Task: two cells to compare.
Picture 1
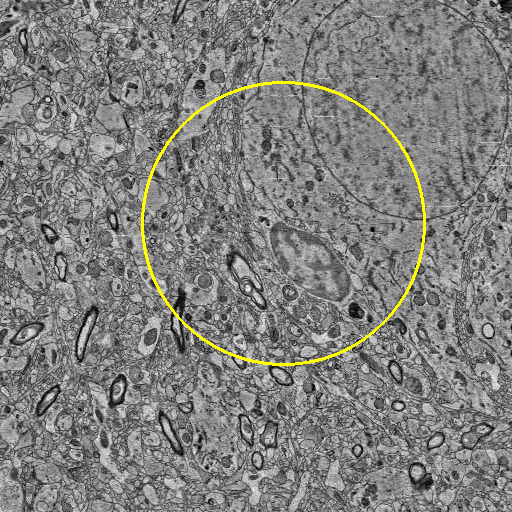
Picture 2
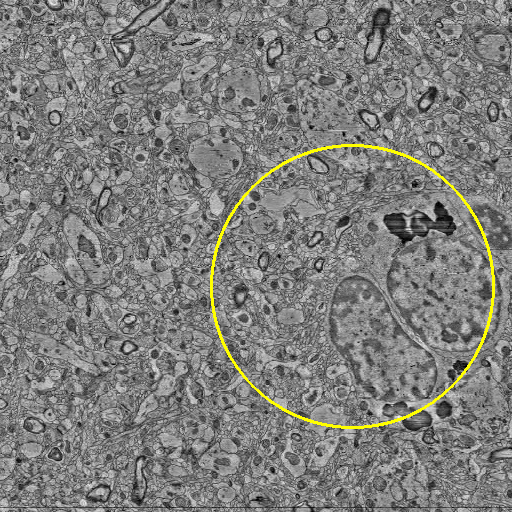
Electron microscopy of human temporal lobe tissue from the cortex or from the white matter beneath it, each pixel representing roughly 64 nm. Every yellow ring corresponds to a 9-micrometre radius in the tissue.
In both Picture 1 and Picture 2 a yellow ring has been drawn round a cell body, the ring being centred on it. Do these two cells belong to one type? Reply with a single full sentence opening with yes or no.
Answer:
No, the two cells at the ring centres in Picture 1 and Picture 2 are of two types.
